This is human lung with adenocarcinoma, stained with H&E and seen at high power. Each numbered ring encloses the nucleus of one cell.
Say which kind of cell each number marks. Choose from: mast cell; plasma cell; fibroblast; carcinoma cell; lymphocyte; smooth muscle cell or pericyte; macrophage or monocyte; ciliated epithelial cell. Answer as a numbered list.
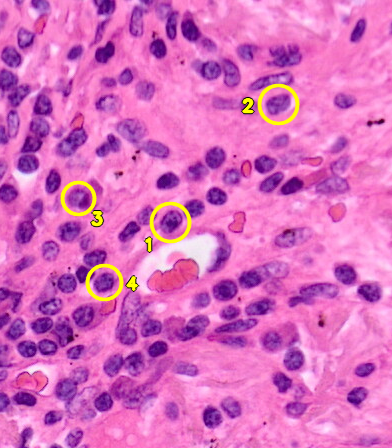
1. lymphocyte
2. lymphocyte
3. plasma cell
4. lymphocyte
